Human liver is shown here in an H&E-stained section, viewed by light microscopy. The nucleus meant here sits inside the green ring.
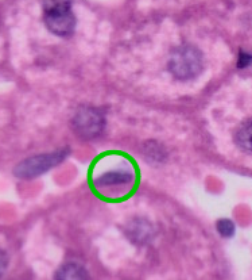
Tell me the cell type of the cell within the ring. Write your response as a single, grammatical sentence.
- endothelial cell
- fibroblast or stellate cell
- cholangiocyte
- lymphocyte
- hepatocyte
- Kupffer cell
Histopathologically, the cell within the ring is an endothelial cell.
